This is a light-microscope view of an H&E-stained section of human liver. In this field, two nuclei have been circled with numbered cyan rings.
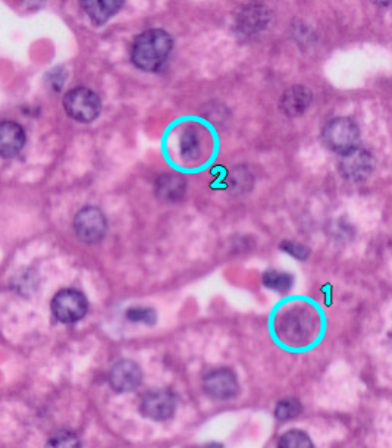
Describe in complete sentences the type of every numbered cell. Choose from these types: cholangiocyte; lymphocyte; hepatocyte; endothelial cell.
Cell 1 is a hepatocyte and cell 2 is an endothelial cell.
